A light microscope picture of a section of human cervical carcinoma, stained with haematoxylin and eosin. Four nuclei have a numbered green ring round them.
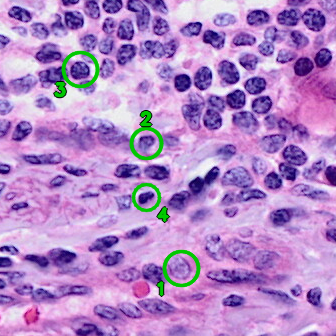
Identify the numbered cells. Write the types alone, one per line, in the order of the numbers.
endothelial cell
lymphocyte
lymphocyte
lymphocyte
